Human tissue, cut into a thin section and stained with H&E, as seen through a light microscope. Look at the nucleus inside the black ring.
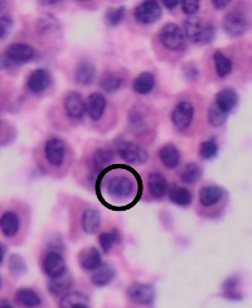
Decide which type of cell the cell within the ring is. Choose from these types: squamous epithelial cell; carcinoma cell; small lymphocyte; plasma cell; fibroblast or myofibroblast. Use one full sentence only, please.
Labelled by cell type, the cell within the ring is a plasma cell.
